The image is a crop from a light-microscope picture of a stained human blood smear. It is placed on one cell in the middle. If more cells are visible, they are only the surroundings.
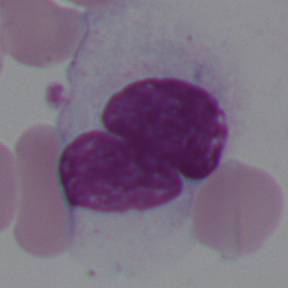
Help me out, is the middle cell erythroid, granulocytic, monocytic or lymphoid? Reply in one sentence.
The central cell originates in the monocytic lineage.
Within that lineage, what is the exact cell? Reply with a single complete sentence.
The centrally located cell in the crop is a monocyte.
